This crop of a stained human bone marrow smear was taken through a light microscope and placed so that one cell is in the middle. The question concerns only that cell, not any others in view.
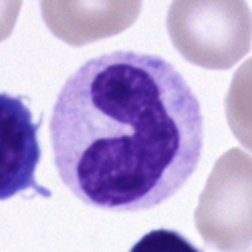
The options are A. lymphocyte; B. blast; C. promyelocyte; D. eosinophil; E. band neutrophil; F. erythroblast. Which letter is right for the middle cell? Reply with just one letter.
E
